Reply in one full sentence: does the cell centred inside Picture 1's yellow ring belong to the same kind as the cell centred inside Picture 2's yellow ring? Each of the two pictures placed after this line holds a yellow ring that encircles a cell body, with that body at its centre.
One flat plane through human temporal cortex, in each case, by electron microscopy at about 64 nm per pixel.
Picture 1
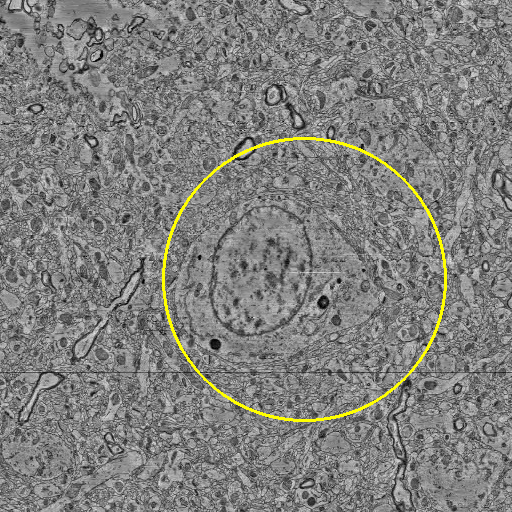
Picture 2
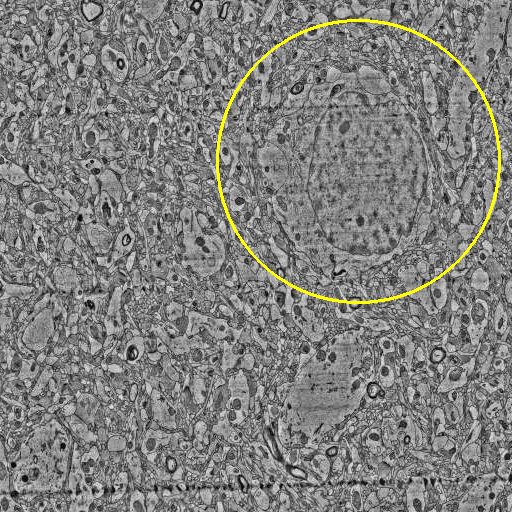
No, the ring-centred cells in Picture 1 and Picture 2 are of two separate kinds.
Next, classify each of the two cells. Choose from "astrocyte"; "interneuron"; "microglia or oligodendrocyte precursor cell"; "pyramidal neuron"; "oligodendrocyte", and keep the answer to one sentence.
In the first picture it is a pyramidal neuron; in the second it is an interneuron.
